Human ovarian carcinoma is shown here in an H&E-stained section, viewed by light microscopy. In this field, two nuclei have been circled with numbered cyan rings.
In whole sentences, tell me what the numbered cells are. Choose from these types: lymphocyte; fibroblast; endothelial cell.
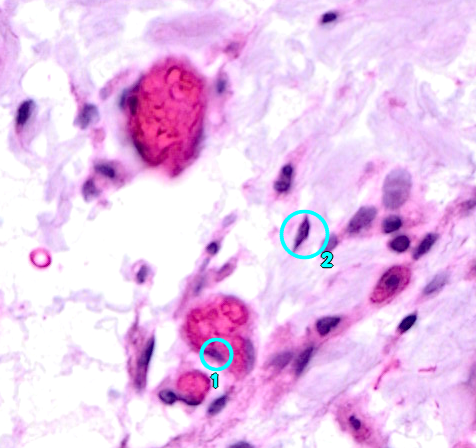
Cell 1 is an endothelial cell and cell 2 is a fibroblast.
